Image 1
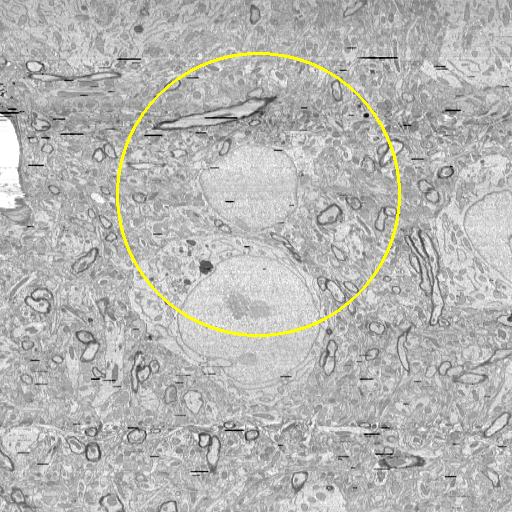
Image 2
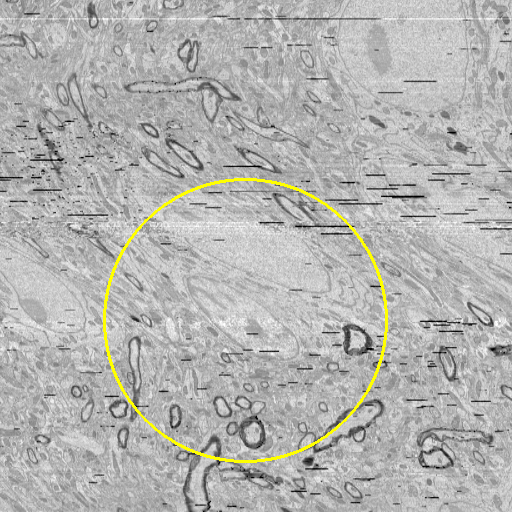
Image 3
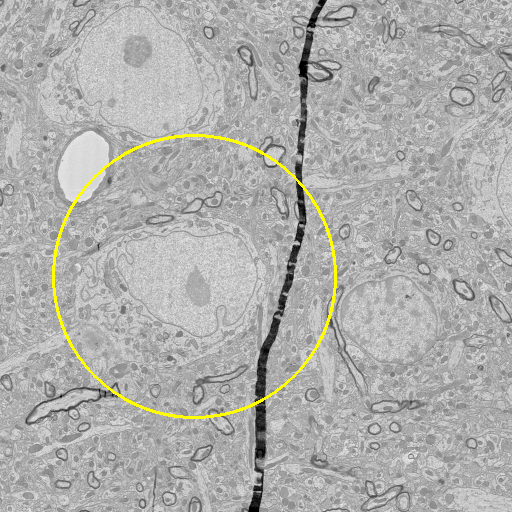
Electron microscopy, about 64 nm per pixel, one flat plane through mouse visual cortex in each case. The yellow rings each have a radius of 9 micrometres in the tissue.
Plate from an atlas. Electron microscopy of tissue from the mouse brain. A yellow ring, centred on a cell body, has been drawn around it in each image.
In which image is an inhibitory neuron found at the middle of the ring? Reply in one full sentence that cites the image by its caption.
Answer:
The requested cell is the one at the ring's centre in Image 3.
